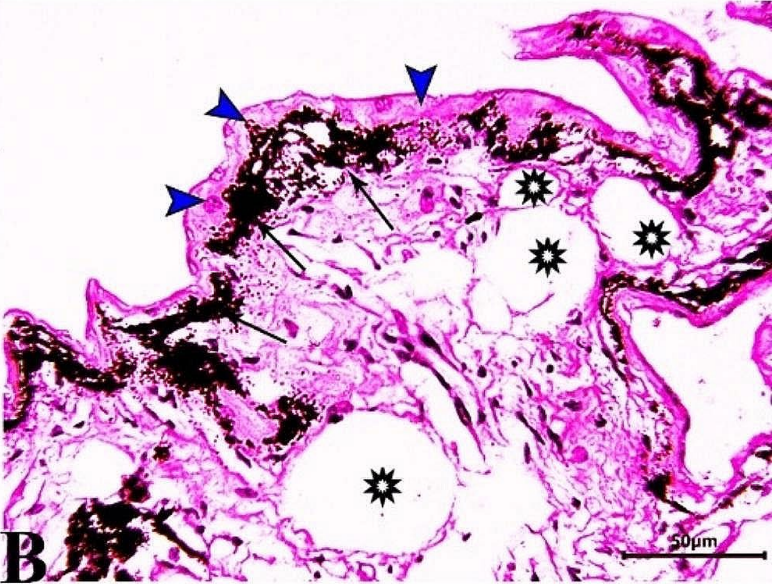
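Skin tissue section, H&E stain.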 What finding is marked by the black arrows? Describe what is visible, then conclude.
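Sub epidermal black pigmentation. Dense black granular deposits lie just beneath the pink surface epithelium. The black material forms broad irregular bands and clumps.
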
